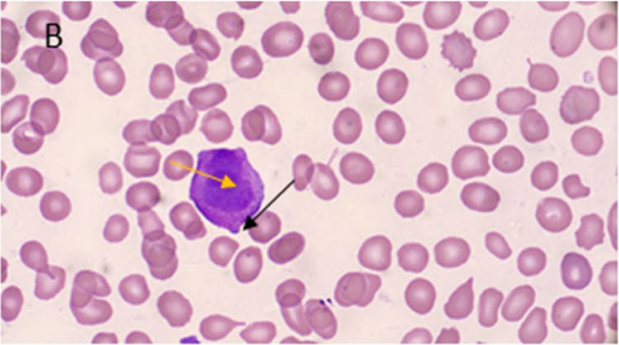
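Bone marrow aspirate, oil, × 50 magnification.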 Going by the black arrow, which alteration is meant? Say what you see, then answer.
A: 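The black arrow points to the edge of a large nucleated cell. The cell margin there bulges out in a small bleb.
Answer: budded cytoplasm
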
